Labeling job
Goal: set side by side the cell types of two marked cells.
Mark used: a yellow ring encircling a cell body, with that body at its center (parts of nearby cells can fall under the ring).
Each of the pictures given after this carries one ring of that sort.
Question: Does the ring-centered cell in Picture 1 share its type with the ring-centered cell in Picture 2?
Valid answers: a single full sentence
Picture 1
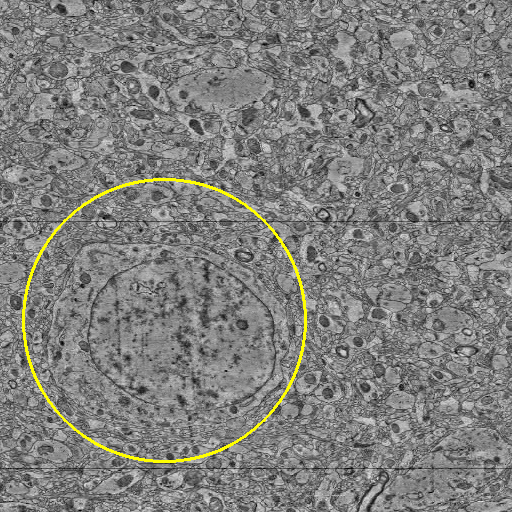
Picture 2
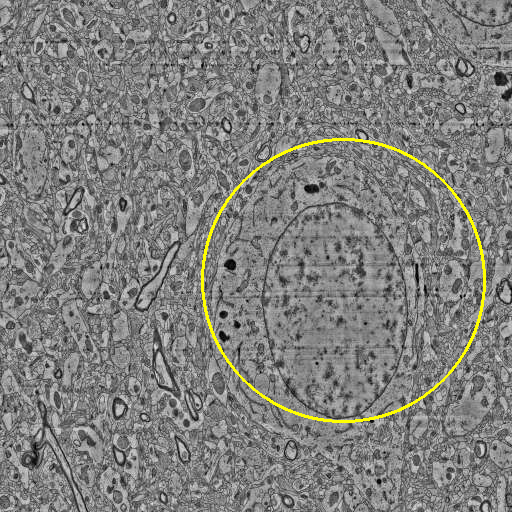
Yes, in Pictures 1 and 2 the cells at the ring centers share one type.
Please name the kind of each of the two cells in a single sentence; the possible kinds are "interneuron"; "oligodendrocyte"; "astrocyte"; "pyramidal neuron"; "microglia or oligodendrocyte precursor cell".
The second cell is a pyramidal neuron, just as the first is.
